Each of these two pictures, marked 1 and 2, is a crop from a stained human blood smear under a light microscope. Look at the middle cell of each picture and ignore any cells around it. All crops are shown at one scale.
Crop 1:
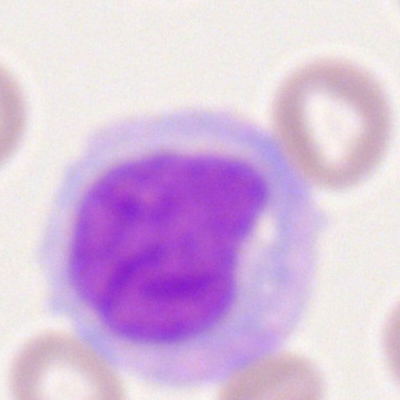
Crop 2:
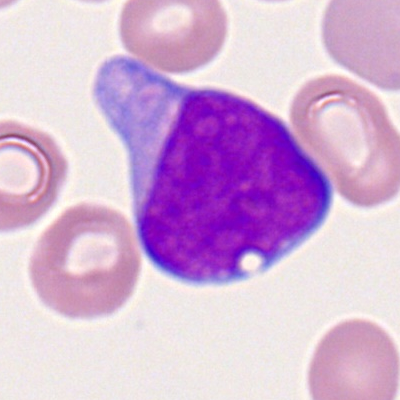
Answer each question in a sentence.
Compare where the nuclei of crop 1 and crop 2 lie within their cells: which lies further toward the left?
It is the nucleus in crop 1 that lies further toward the left of its cell.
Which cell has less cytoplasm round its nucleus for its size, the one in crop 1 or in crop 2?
The nucleus fills more of the cell in crop 2 than in crop 1.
